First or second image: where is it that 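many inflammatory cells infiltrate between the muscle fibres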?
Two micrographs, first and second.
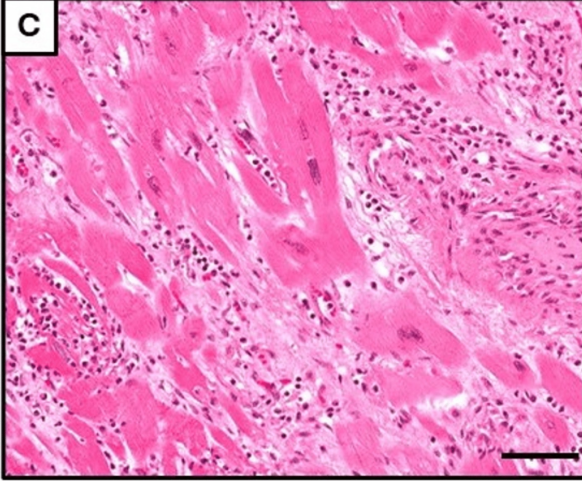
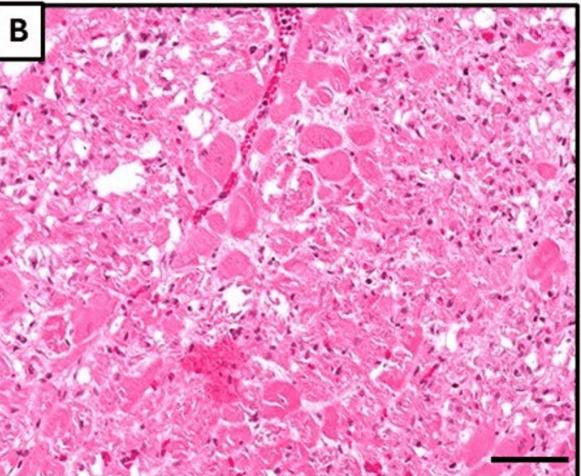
the first image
